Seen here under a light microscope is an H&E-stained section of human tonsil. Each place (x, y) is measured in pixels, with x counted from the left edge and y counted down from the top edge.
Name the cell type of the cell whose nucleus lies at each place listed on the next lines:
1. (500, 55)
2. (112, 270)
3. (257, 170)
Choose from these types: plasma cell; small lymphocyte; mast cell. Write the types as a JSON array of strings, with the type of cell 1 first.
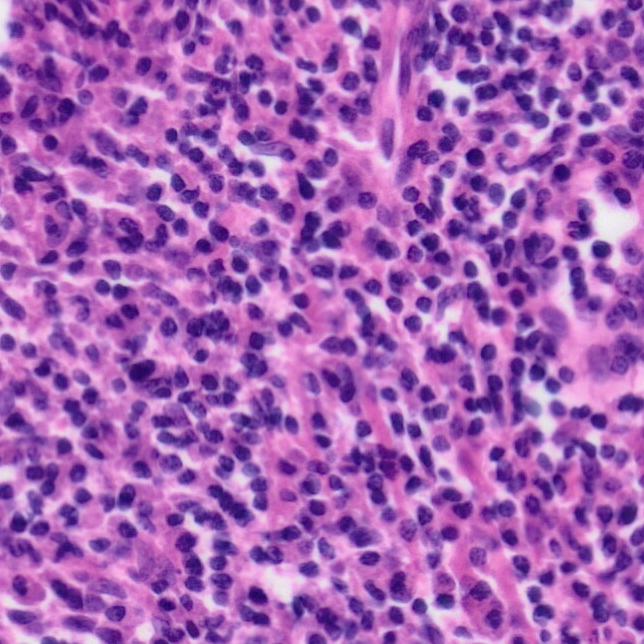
["small lymphocyte", "plasma cell", "small lymphocyte"]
